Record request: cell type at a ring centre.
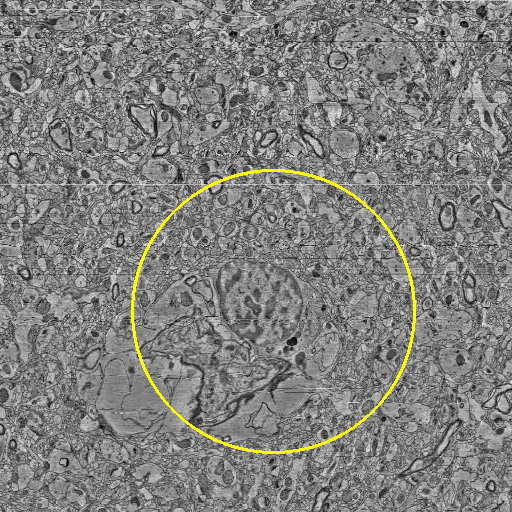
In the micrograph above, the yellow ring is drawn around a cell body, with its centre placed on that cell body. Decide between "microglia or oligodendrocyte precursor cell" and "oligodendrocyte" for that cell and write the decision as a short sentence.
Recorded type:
The cell centred in the yellow ring is an oligodendrocyte.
